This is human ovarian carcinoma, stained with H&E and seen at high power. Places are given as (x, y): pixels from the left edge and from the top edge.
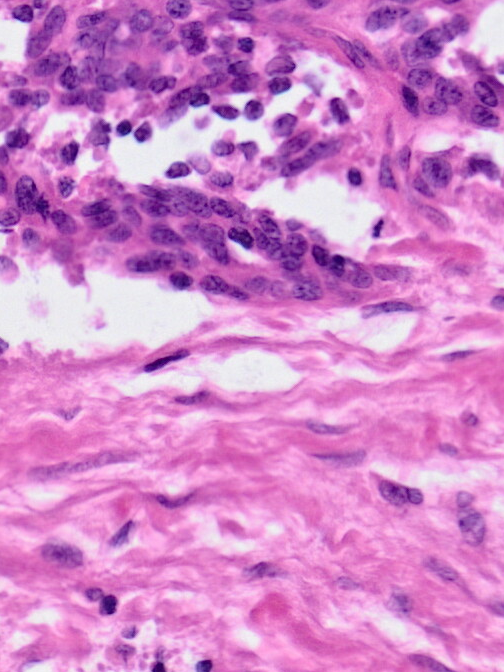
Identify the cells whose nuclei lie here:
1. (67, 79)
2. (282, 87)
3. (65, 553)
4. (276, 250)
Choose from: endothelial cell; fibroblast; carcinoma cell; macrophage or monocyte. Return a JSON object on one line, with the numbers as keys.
{"1": "carcinoma cell", "2": "carcinoma cell", "3": "fibroblast", "4": "carcinoma cell"}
